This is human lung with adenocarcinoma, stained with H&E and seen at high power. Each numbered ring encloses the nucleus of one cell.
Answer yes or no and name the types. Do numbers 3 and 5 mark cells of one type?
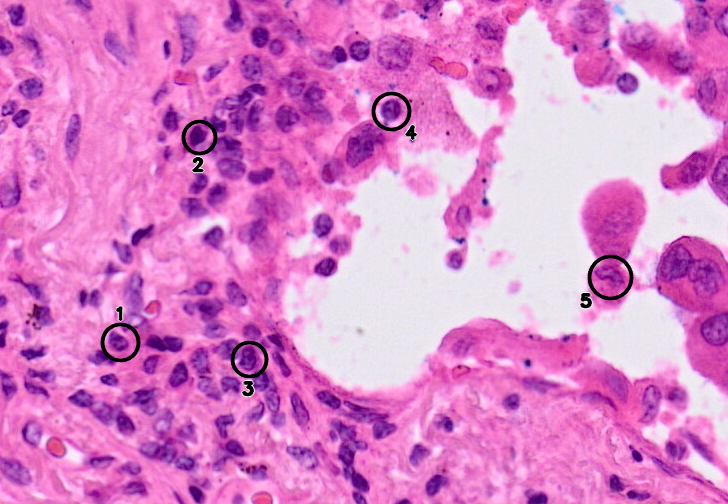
No, the identities are a plasma cell for cell 3 and a macrophage or monocyte for cell 5.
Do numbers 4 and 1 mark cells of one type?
Yes, in the case of cells 4 and 1, both are lymphocytes.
